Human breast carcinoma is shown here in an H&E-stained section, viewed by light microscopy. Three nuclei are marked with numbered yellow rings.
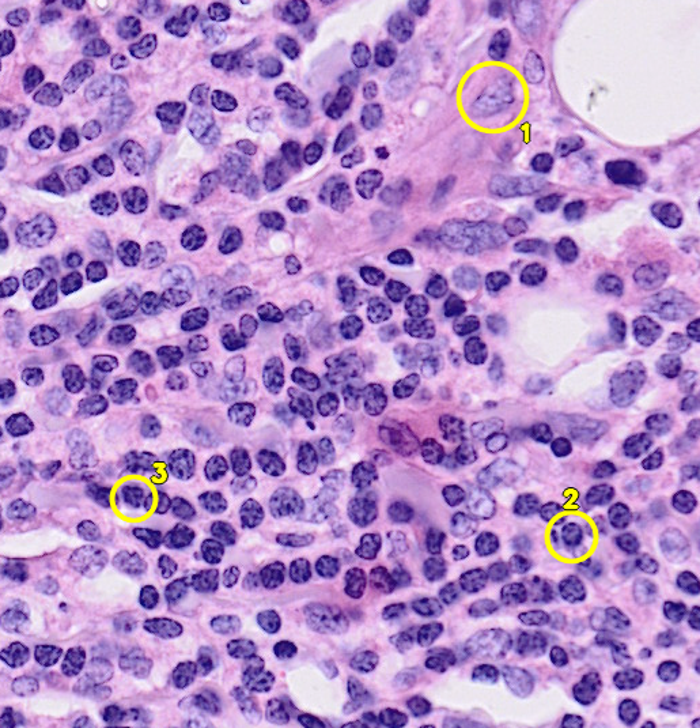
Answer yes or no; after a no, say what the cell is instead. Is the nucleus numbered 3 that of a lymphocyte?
Yes.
